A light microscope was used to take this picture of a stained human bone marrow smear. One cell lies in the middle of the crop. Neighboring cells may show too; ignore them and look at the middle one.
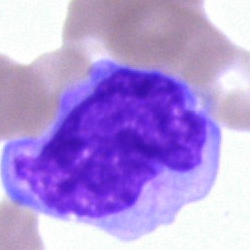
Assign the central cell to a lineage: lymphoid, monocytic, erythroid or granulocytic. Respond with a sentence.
The central cell in this crop is categorized under the monocytic lineage.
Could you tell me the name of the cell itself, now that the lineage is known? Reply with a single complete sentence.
Of the cells in this crop, the central one is a monocyte.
